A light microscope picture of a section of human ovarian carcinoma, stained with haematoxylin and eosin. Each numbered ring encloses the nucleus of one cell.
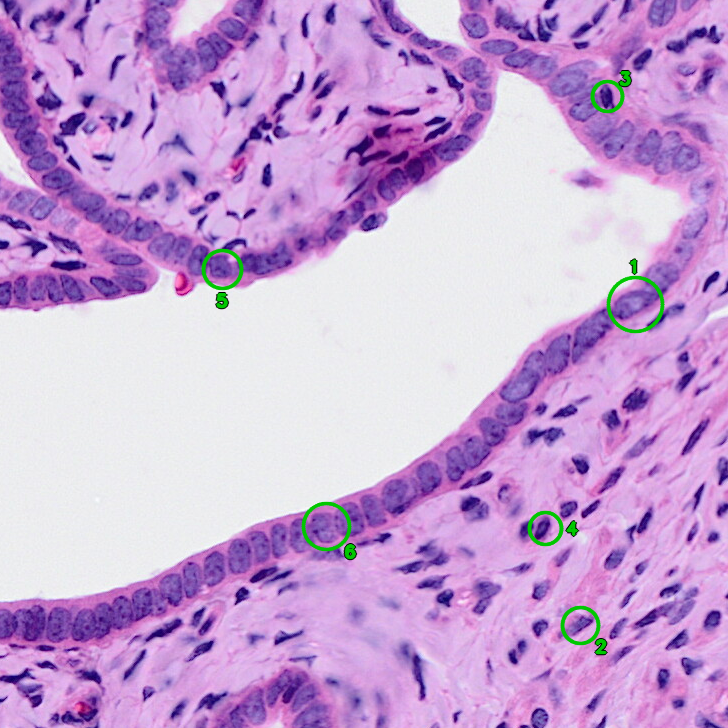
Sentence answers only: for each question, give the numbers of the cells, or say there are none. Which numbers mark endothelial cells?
Among the marked cells, cell number 4 alone is an endothelial cell.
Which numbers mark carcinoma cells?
The numbers 1, 5 and 6 in this section indicate carcinoma cells.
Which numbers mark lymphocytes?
Among the numbered cells, a lymphocyte occurs only once, as cell 3.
